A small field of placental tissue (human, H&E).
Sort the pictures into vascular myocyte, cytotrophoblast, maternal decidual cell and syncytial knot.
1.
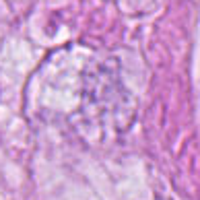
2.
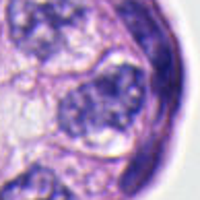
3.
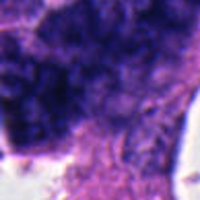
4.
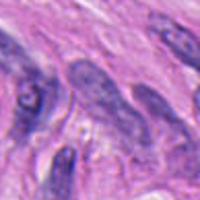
Maternal decidual cells: 1
Cytotrophoblasts: 2
Syncytial knots: 3
Vascular myocytes: 4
